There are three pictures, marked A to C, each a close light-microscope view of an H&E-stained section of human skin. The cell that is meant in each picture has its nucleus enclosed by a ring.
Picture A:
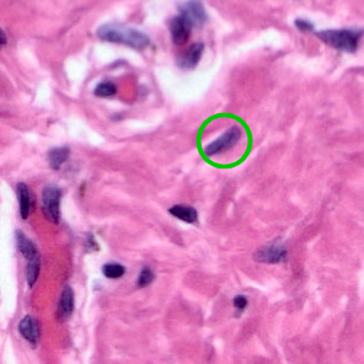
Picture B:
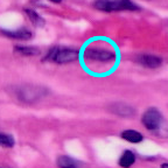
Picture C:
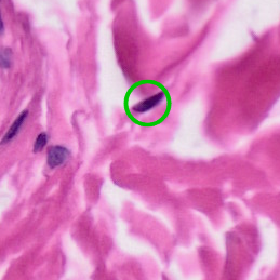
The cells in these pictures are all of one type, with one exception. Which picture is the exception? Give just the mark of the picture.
B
